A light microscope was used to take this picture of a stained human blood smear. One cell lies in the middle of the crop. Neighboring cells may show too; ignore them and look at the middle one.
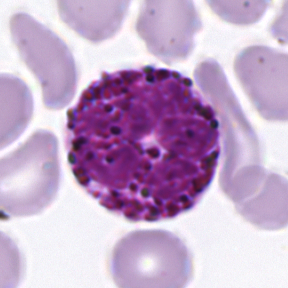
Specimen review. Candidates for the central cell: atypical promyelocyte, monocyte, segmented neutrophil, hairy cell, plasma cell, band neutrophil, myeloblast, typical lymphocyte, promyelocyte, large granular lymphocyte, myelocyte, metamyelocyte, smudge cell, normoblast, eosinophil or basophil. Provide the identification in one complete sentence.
The cell around which this crop is centred is a basophil.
